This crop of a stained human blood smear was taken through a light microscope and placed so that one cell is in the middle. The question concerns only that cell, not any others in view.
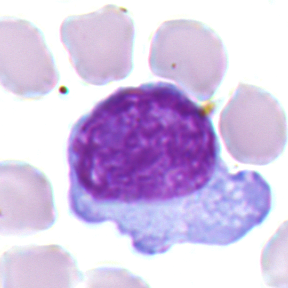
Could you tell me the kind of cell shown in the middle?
plasma cell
